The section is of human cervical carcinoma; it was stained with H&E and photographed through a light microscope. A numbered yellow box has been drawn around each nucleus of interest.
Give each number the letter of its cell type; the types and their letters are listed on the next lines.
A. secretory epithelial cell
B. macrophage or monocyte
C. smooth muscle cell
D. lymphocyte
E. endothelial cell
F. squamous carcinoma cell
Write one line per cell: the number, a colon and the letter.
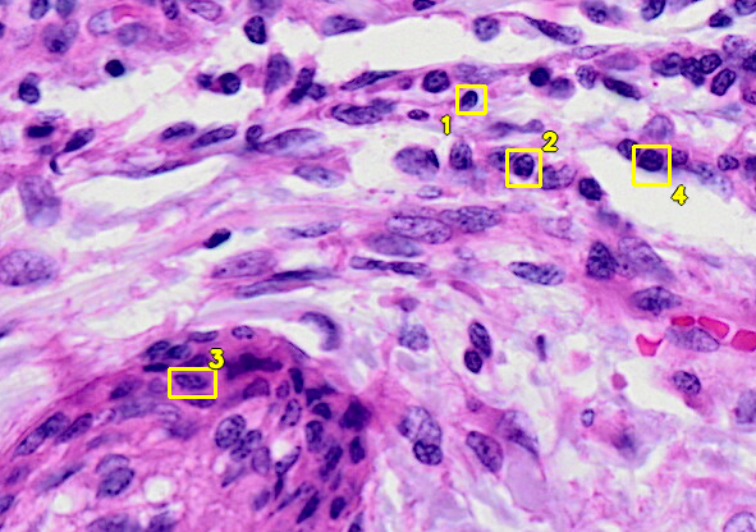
1: D
2: D
3: F
4: D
